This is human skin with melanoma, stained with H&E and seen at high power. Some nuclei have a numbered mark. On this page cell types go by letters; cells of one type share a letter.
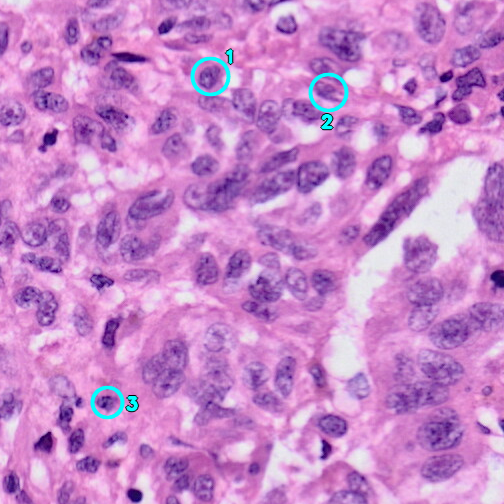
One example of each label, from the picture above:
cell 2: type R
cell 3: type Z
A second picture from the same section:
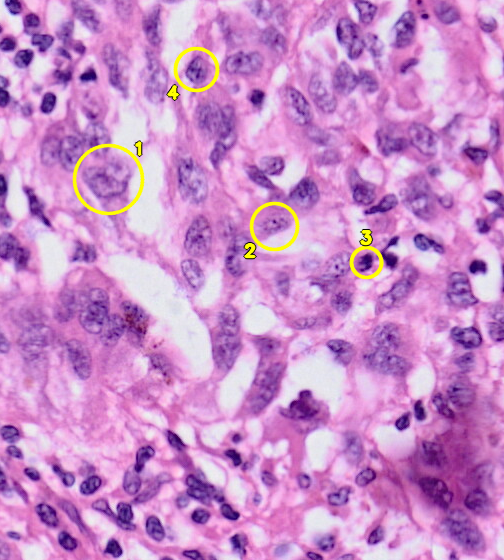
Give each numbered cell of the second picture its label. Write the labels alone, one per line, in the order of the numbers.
type R
type R
type Z
type R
